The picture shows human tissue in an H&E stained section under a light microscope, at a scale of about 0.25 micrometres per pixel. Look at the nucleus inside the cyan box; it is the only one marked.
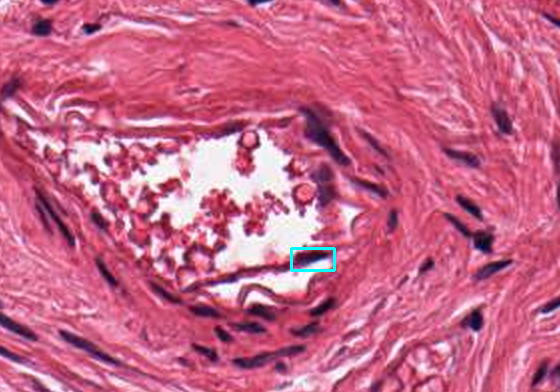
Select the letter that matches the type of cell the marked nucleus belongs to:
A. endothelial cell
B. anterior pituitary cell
A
